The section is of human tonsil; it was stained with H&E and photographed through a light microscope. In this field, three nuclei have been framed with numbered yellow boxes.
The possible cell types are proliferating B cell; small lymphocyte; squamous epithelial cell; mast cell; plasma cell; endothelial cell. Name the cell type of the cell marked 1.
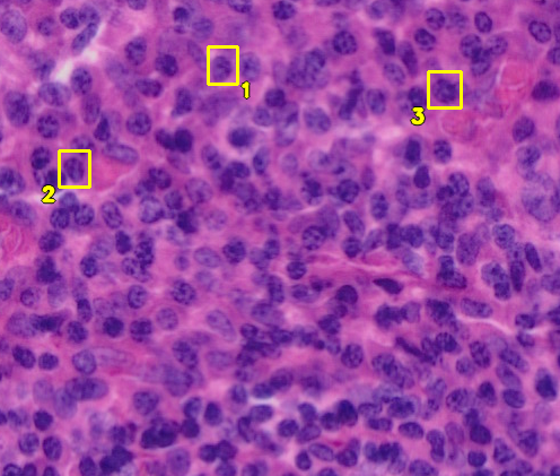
squamous epithelial cell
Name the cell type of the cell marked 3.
plasma cell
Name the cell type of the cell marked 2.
plasma cell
